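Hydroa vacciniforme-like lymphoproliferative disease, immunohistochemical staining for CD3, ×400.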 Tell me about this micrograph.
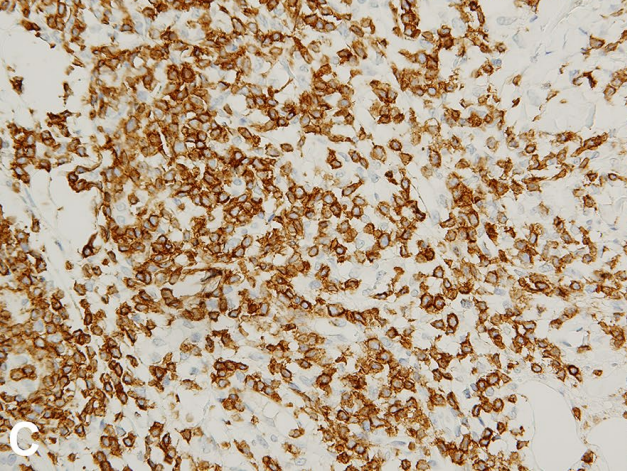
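Dense infiltrate of atypical mononuclear cells in dermis, most of them stained brown. The brown stain outlines the cell membranes and cytoplasm, leaving round nuclei pale within. Stained cells are crowded, round to slightly irregular and of small to medium size. A few unstained cells with blue nuclei and pale stroma lie between them.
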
